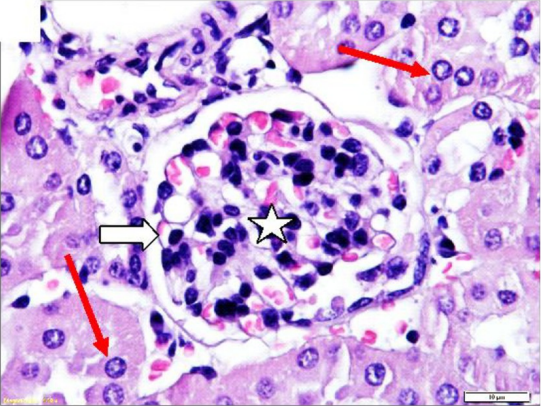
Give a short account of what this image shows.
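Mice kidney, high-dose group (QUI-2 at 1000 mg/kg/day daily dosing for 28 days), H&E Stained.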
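A large renal corpuscle occupies the centre, its glomerular tuft packed with capillary loops holding red blood cells and numerous dark nuclei. The tuft nearly fills the capsule, leaving only a thin clear space beneath the capsule line. Around it, renal tubules are lined by cuboidal epithelium with pink cytoplasm and rounded nuclei containing nucleoli. Interstitial cells with dark elongated nuclei lie near the upper edge of the corpuscle.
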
